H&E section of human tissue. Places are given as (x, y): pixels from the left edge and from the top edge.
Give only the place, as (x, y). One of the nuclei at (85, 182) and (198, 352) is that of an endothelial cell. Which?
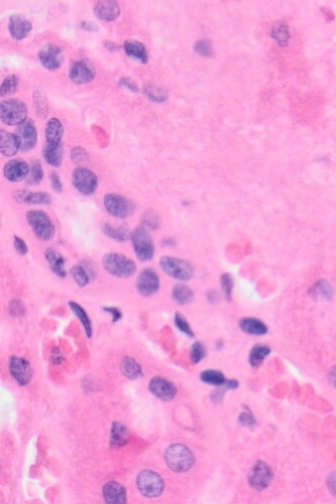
(198, 352)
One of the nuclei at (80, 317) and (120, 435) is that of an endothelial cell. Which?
(80, 317)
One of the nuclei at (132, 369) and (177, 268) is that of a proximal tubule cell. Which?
(132, 369)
